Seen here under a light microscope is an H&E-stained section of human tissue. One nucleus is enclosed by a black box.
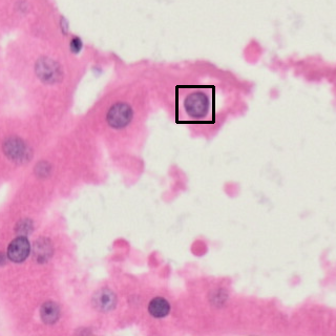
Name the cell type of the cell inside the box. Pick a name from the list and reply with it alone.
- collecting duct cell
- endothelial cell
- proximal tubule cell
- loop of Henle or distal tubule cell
proximal tubule cell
